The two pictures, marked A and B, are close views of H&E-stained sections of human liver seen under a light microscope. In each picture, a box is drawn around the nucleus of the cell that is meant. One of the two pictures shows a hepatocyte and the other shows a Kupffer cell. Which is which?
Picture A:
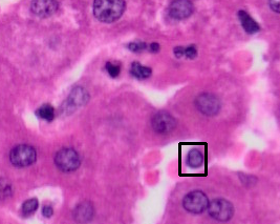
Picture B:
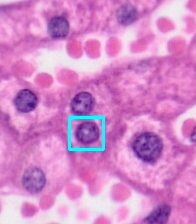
A: Kupffer cell
B: hepatocyte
